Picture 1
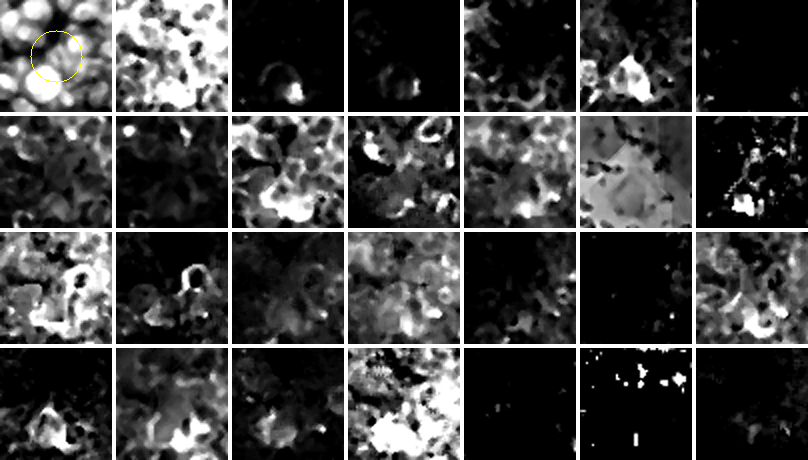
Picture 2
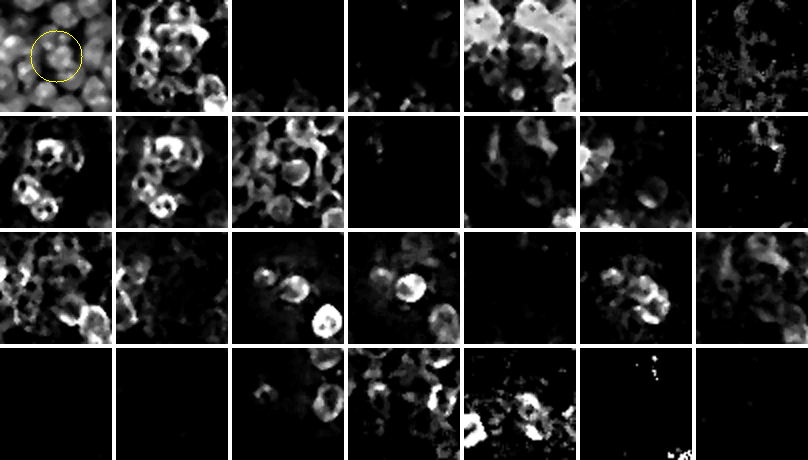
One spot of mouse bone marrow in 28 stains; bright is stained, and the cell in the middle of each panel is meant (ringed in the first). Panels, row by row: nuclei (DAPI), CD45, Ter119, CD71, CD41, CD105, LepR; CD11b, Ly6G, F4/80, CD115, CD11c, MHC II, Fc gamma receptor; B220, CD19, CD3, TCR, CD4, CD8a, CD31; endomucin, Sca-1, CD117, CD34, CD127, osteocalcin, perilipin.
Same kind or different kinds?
Different: the first is a monocyte, the second a CD8 T cell.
